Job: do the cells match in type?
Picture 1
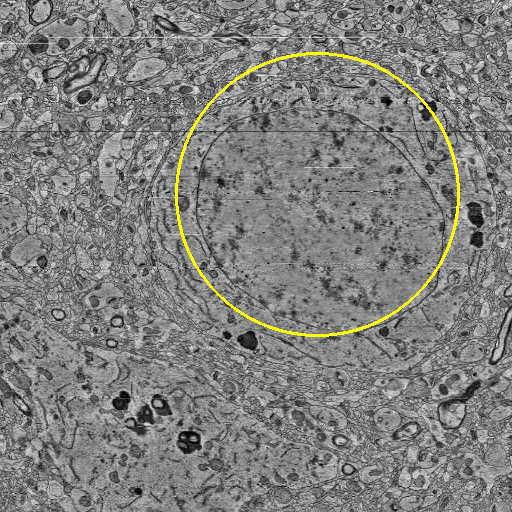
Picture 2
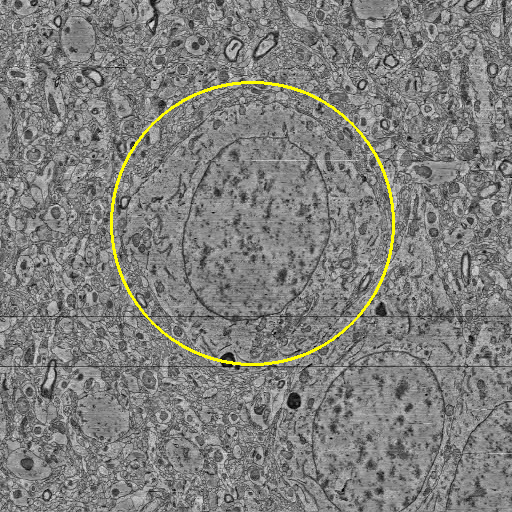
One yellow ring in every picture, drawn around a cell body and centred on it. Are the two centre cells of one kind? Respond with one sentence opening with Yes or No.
Yes, the ringed cells in the two pictures are of one and the same kind.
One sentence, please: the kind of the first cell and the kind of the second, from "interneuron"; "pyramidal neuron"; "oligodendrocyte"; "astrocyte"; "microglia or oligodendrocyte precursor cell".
The first and the second cell are each a pyramidal neuron.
